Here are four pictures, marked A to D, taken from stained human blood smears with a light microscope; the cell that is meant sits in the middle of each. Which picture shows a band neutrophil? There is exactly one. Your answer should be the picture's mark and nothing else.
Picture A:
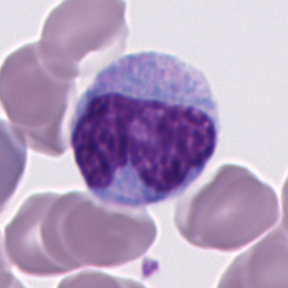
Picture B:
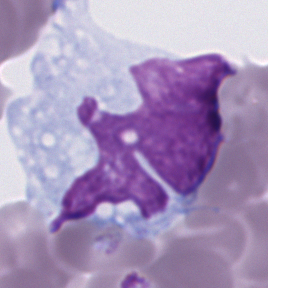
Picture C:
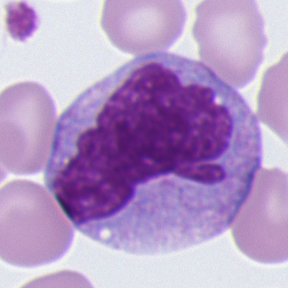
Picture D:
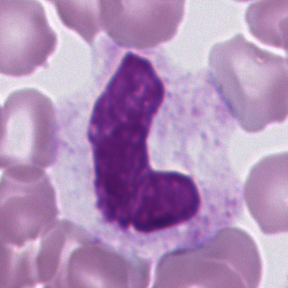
D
